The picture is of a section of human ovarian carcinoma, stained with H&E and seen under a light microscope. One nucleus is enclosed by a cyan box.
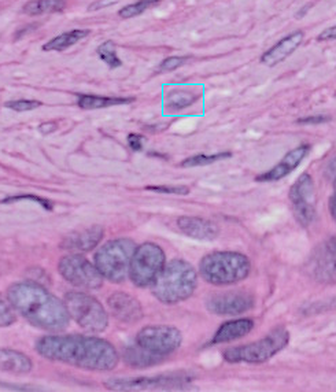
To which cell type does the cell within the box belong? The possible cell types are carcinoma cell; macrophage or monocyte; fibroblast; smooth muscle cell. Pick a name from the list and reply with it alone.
fibroblast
